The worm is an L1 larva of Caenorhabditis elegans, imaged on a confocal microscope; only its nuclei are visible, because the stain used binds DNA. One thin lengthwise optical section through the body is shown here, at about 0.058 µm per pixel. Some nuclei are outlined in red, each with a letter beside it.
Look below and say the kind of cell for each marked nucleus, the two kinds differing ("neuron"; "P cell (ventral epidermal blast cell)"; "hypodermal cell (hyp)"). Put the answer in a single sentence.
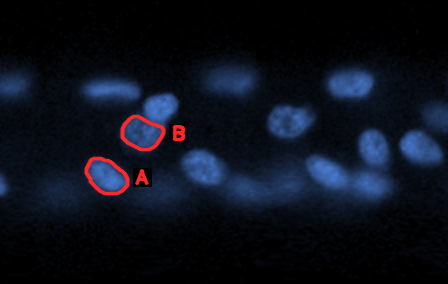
A belongs to a P cell (ventral epidermal blast cell) and B to a hypodermal cell (hyp).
